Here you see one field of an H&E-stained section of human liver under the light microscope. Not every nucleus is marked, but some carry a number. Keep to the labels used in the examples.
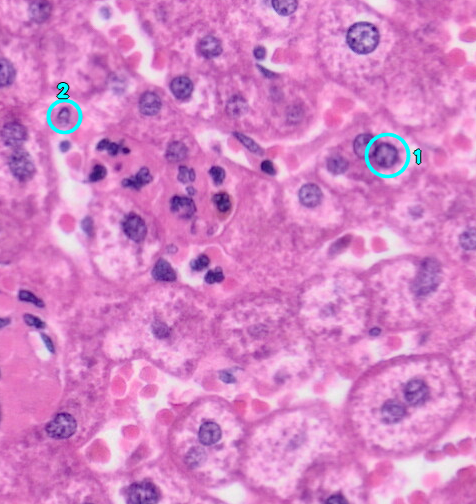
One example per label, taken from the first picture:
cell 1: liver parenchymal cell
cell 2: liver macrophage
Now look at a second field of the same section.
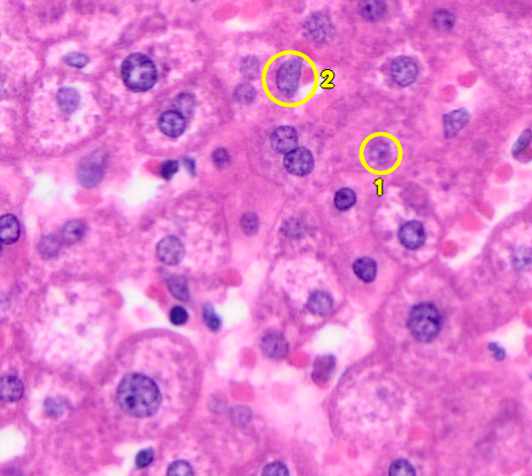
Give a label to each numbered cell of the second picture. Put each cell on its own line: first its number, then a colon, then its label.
1: liver parenchymal cell
2: liver macrophage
